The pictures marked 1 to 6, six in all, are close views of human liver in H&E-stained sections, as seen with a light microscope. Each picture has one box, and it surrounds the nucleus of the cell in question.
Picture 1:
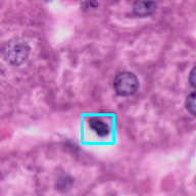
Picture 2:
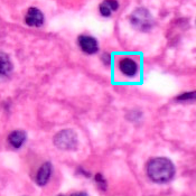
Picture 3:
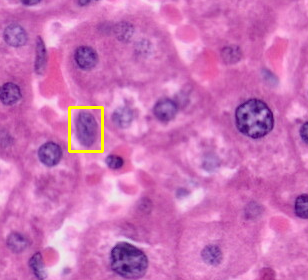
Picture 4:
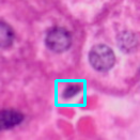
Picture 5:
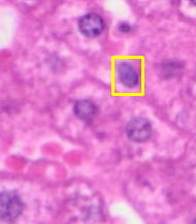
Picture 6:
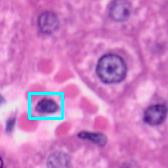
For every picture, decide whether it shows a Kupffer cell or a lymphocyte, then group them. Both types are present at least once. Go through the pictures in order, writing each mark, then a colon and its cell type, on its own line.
1: lymphocyte
2: lymphocyte
3: Kupffer cell
4: lymphocyte
5: Kupffer cell
6: lymphocyte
